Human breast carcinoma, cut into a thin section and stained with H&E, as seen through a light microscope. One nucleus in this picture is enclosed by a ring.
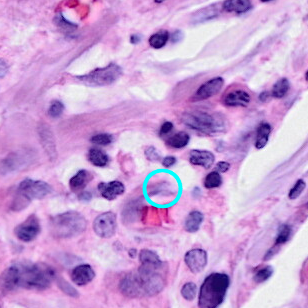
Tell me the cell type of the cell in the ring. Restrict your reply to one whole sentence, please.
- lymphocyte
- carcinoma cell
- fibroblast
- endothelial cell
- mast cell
In this tissue section, the cell in the ring is to be classed as an endothelial cell.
